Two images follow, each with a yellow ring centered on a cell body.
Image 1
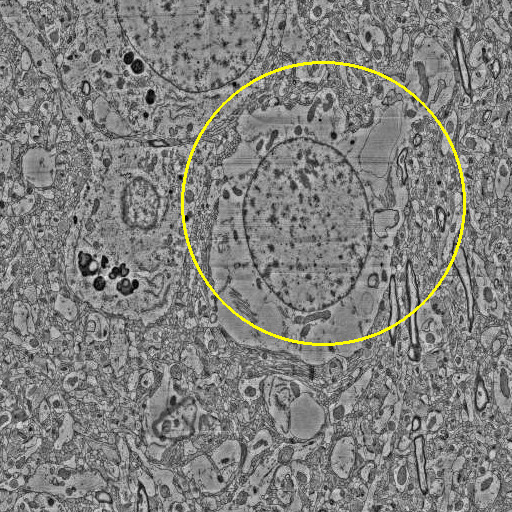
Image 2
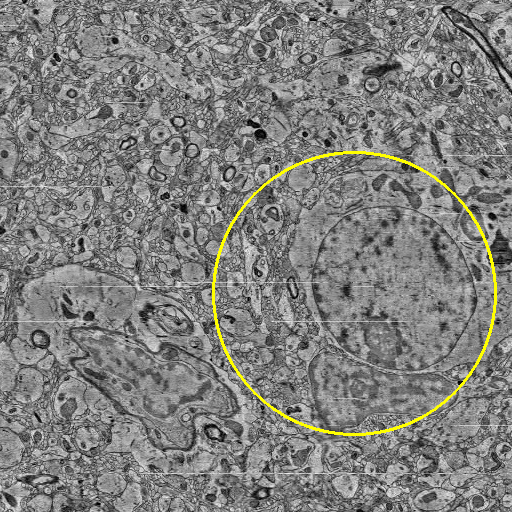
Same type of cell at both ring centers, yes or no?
yes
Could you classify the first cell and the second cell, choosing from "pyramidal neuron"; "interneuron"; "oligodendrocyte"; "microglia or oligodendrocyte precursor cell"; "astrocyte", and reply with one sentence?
The first and the second cell are each an astrocyte.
